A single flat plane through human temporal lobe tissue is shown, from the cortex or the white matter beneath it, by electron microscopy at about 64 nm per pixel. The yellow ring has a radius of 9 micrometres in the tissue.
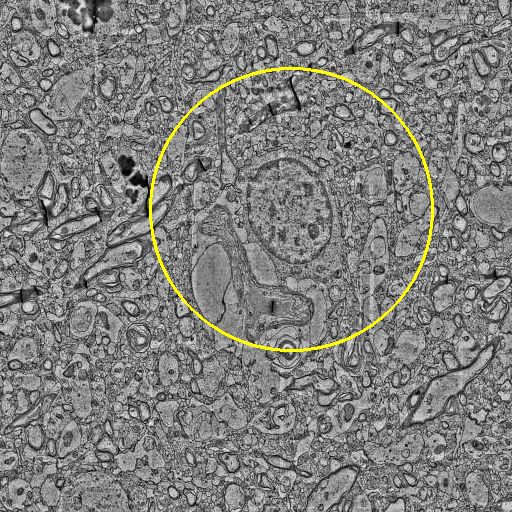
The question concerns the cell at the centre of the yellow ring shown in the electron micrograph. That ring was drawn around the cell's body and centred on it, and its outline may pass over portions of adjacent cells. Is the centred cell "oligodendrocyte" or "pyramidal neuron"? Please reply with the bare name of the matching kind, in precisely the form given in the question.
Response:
oligodendrocyte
